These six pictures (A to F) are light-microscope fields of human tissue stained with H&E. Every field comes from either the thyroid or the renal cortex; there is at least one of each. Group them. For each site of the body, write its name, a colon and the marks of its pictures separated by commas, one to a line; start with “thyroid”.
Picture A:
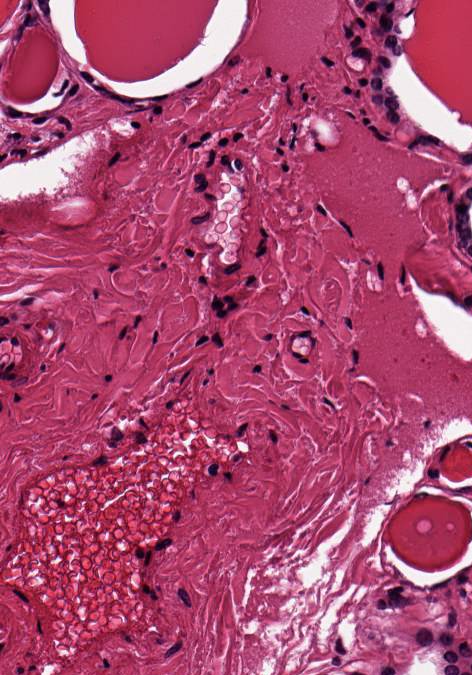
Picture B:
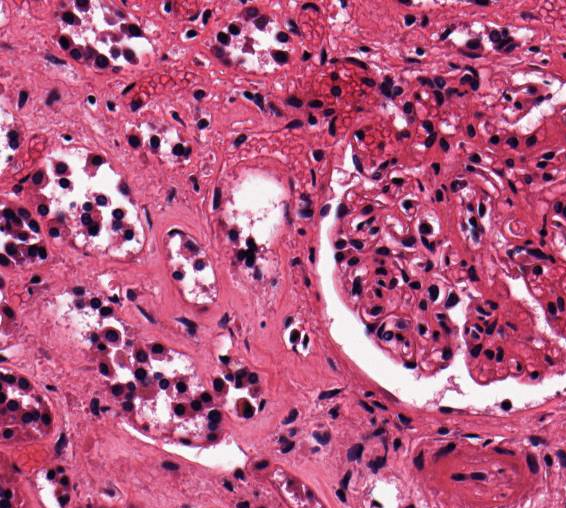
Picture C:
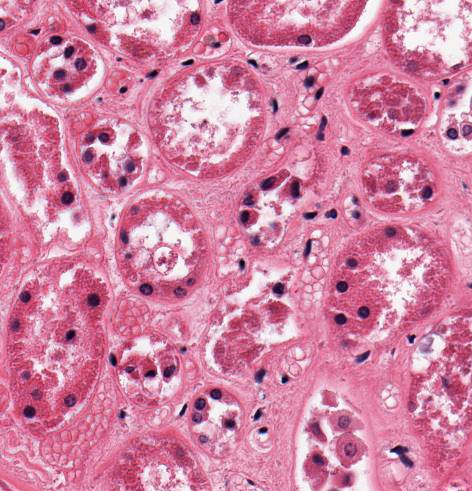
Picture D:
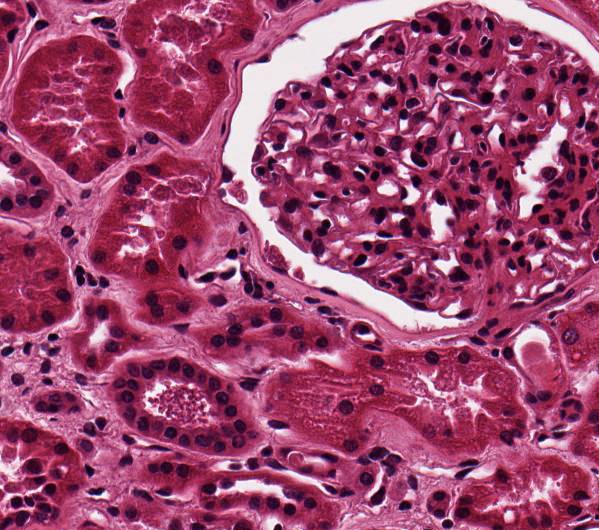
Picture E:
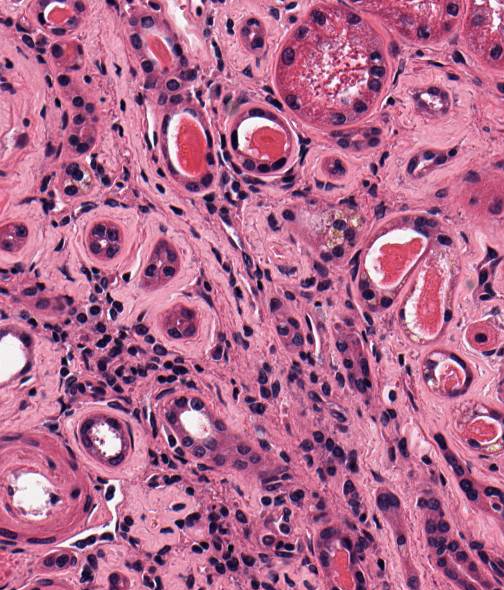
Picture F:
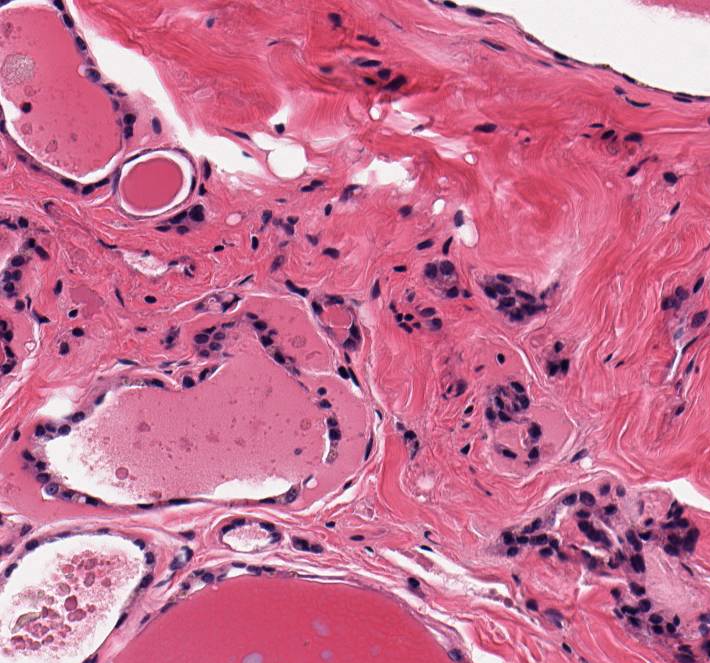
thyroid: A, F
renal cortex: B, C, D, E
